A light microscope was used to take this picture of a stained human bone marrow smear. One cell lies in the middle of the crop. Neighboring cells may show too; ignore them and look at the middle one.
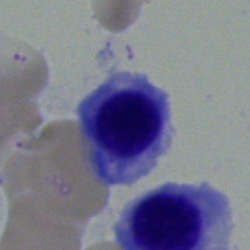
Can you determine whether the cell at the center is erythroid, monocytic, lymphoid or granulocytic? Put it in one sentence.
Under the erythroid lineage falls the cell in the middle of the crop.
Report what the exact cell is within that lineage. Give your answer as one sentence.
In the center of this field lies an erythroblast.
